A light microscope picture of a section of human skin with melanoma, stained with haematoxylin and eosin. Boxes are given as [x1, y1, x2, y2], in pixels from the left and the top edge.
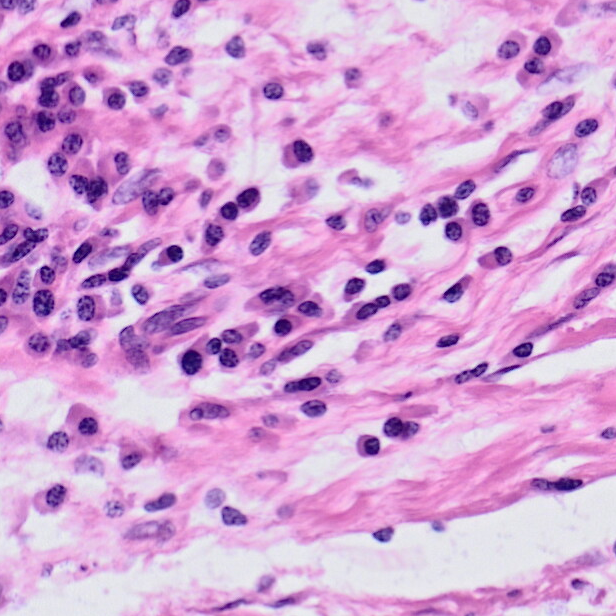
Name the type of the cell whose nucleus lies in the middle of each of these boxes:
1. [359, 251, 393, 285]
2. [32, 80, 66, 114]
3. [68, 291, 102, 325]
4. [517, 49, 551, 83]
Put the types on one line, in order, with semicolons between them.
lymphocyte; plasma cell; plasma cell; plasma cell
